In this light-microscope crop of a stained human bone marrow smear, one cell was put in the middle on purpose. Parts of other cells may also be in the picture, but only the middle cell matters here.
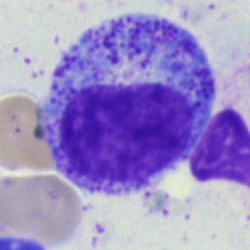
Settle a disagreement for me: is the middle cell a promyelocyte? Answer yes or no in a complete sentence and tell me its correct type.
Yes, the cell that occupies the centre is a promyelocyte.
